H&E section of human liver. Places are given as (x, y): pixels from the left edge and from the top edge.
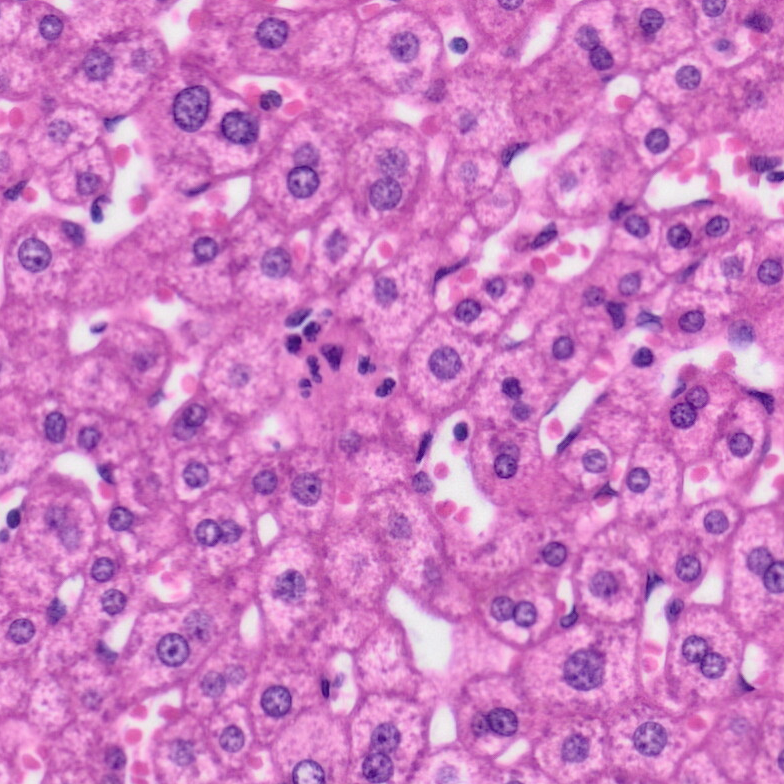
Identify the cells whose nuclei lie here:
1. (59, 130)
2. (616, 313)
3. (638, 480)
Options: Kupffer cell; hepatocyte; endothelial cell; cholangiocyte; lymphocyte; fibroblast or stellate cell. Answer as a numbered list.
1. hepatocyte
2. fibroblast or stellate cell
3. hepatocyte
